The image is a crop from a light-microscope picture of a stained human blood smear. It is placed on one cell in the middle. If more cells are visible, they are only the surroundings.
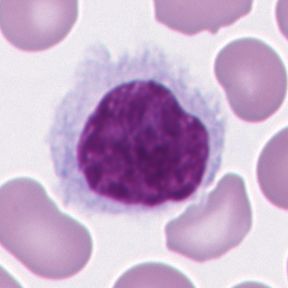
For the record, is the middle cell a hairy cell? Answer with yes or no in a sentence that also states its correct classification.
Yes, the cell positioned in the middle is a hairy cell.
